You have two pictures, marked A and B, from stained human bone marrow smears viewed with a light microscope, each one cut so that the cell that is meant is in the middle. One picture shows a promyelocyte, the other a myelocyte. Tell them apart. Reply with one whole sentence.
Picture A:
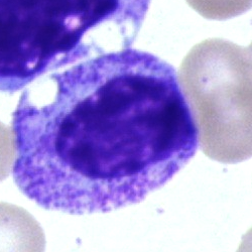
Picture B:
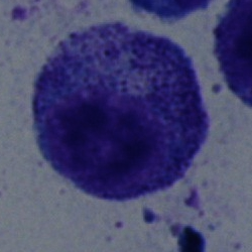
It is picture A that shows a myelocyte, and picture B that shows a promyelocyte.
